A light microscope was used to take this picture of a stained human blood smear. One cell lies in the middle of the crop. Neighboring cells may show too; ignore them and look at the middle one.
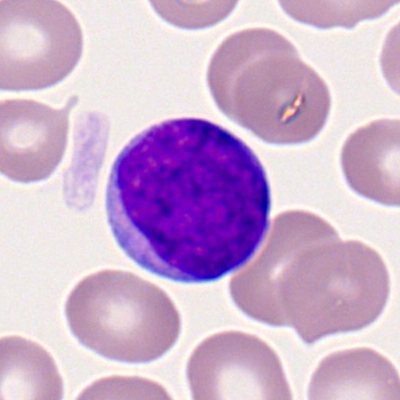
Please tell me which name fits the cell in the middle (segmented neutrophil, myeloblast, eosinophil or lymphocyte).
myeloblast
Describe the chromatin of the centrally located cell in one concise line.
The chromatin in this nucleus is coarsely clumped.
